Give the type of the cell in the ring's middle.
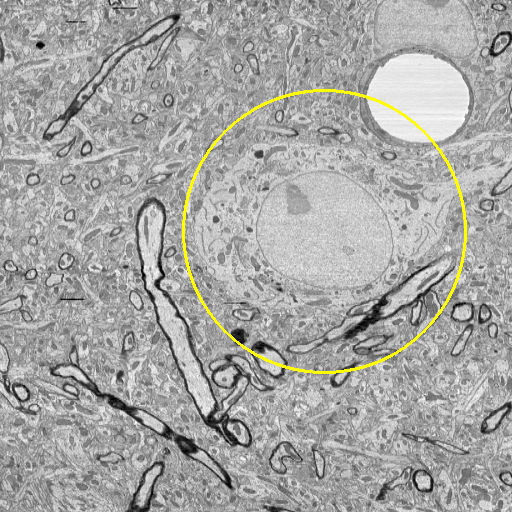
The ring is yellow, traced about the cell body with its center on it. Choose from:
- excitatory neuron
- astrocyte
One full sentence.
Here, an excitatory neuron is the cell lying at the center of the yellow ring.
